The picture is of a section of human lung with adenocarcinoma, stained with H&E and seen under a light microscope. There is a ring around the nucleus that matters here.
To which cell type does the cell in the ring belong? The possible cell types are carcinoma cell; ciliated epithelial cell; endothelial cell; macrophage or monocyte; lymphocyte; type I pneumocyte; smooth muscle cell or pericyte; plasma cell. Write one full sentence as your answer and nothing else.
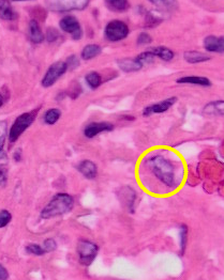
In this section of tissue, the cell in the ring is an endothelial cell.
